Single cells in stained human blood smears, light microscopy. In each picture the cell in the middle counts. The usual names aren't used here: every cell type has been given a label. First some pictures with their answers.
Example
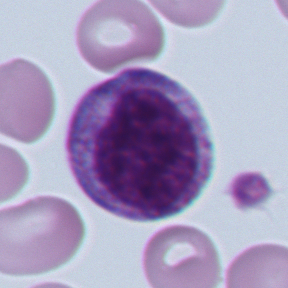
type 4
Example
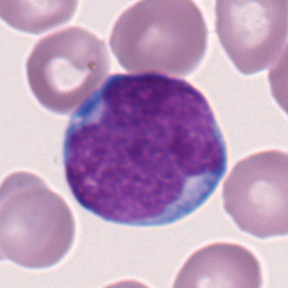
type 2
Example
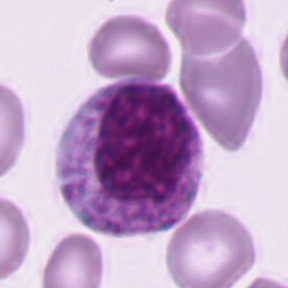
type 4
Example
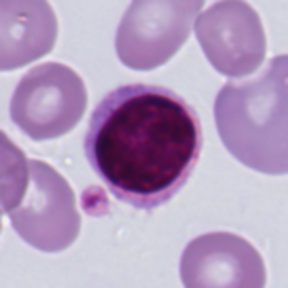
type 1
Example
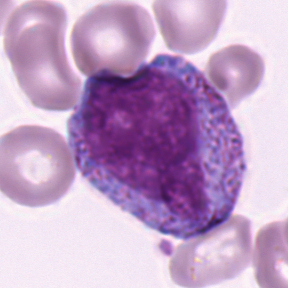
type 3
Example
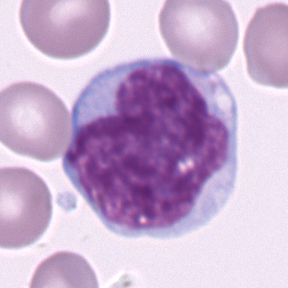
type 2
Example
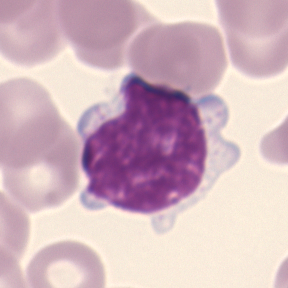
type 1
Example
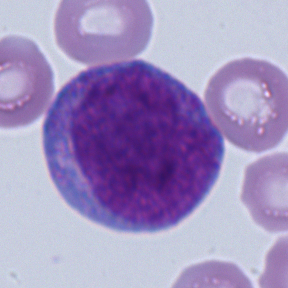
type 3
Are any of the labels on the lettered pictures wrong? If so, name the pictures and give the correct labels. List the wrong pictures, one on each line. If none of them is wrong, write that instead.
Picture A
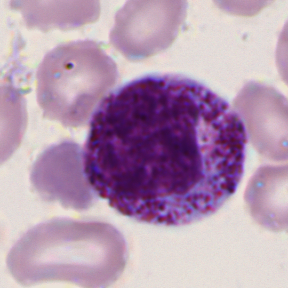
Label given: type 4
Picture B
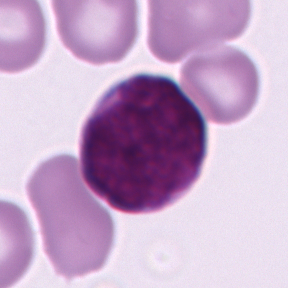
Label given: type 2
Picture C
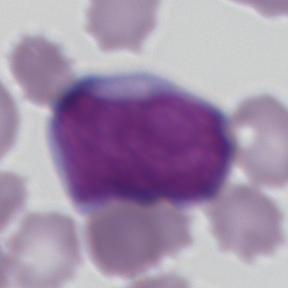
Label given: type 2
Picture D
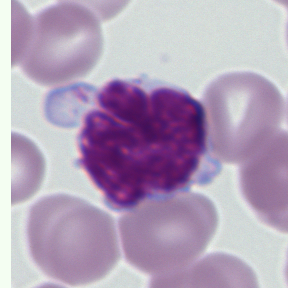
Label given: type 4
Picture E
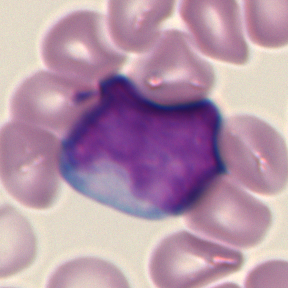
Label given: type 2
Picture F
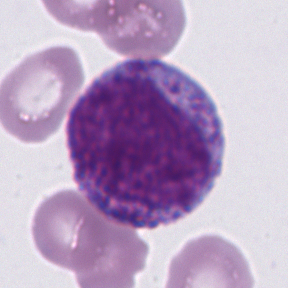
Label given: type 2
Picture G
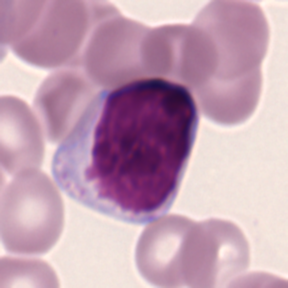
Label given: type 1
D should be type 1, not type 4
F should be type 3, not type 2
